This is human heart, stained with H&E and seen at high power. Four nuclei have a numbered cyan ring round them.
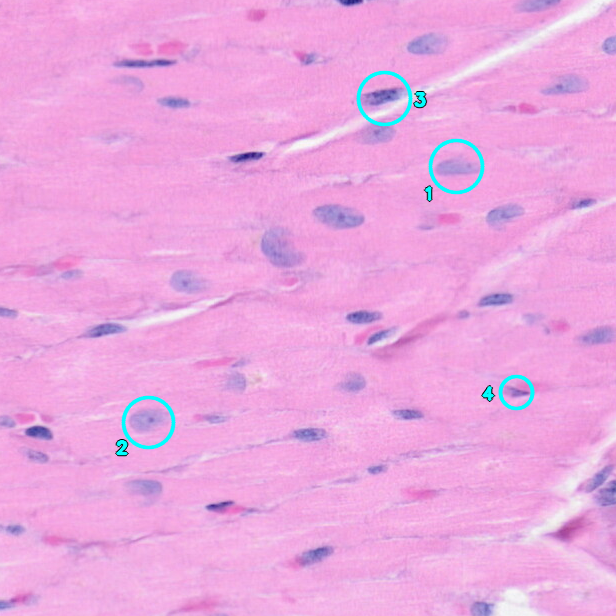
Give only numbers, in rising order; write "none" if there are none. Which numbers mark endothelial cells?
3, 4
